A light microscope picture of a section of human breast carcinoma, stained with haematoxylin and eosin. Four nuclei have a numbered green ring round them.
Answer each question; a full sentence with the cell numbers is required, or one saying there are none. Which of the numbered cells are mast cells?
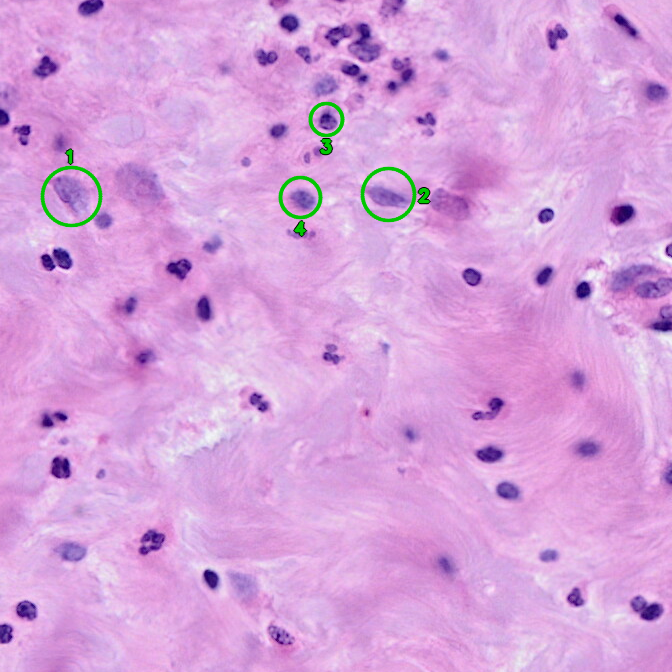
Nothing but cell 4 is a mast cell among the numbered ones.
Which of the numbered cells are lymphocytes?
Only the cell with the number 3 is a lymphocyte.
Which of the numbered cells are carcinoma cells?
Zero of the numbered cells are carcinoma cells.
